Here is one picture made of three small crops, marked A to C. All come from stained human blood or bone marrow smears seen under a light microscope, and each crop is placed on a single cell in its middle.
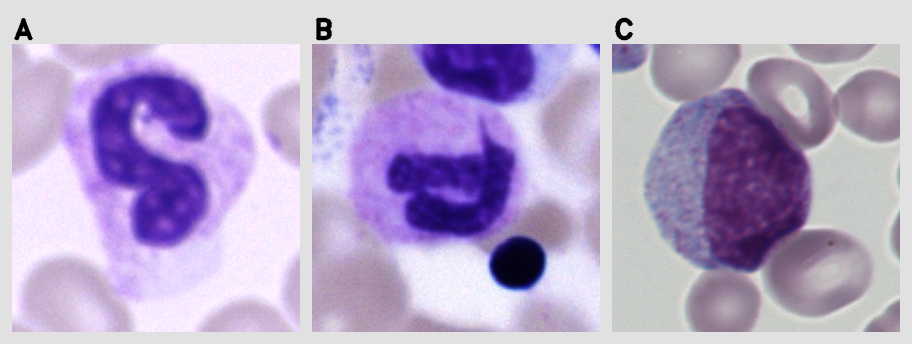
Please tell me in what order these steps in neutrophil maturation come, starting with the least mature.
C, A, B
